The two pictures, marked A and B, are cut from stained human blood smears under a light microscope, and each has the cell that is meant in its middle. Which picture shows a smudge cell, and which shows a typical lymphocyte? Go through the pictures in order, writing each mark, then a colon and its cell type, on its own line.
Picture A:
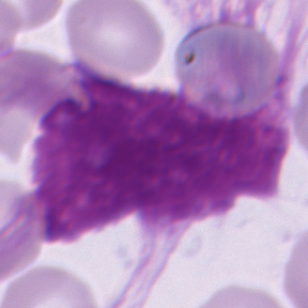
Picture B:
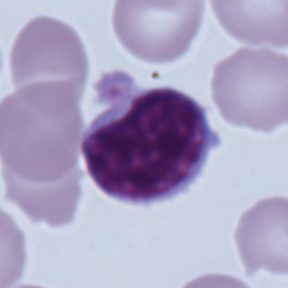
A: smudge cell
B: typical lymphocyte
